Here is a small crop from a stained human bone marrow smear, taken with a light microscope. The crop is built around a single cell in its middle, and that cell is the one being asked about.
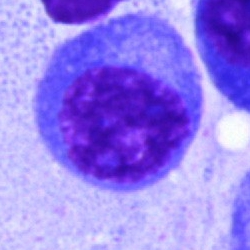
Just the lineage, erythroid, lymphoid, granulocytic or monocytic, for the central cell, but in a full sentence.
That the central cell belongs to the lymphoid lineage is the finding here.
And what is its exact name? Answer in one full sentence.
In short, the cell at the center is a plasma cell.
